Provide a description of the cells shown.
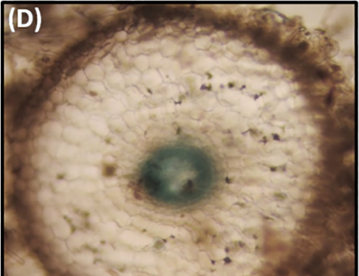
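This is a cross section of a root, with a wide cortex of large, thin-walled parenchyma cells surrounding a small central vascular cylinder. The cortical cells are rounded to polygonal and appear roughly arranged in radial rows running outward from the centre. Small dark granules are scattered within many cortical cells. The outer boundary is a dark brown band several cells thick. Blue stain is confined to the small central cylinder, which forms a ring with a paler middle, while the cortex around it is unstained.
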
